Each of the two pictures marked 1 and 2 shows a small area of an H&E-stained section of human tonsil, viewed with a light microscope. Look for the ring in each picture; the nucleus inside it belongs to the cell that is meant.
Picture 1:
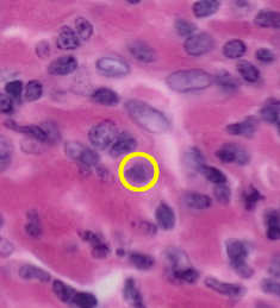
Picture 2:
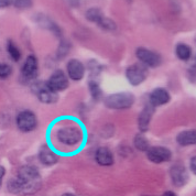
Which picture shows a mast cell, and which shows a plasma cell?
1: mast cell
2: plasma cell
